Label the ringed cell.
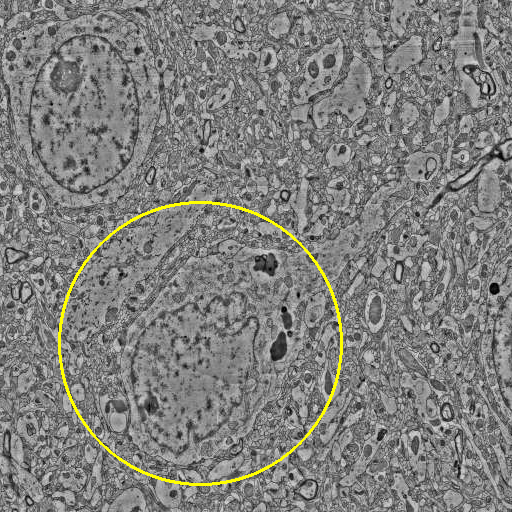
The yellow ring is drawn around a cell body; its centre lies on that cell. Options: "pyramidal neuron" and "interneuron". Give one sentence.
The ringed cell is an interneuron.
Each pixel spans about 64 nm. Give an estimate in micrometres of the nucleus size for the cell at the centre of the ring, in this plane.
The ringed cell's nucleus is about 11 micrometres long and 8 micrometres wide in this plane.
